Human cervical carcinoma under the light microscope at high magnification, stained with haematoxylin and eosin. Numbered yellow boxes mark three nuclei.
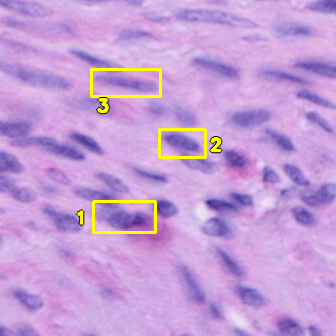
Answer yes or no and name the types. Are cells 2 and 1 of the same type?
Yes, that is right: cells 2 and 1 are both fibroblasts.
